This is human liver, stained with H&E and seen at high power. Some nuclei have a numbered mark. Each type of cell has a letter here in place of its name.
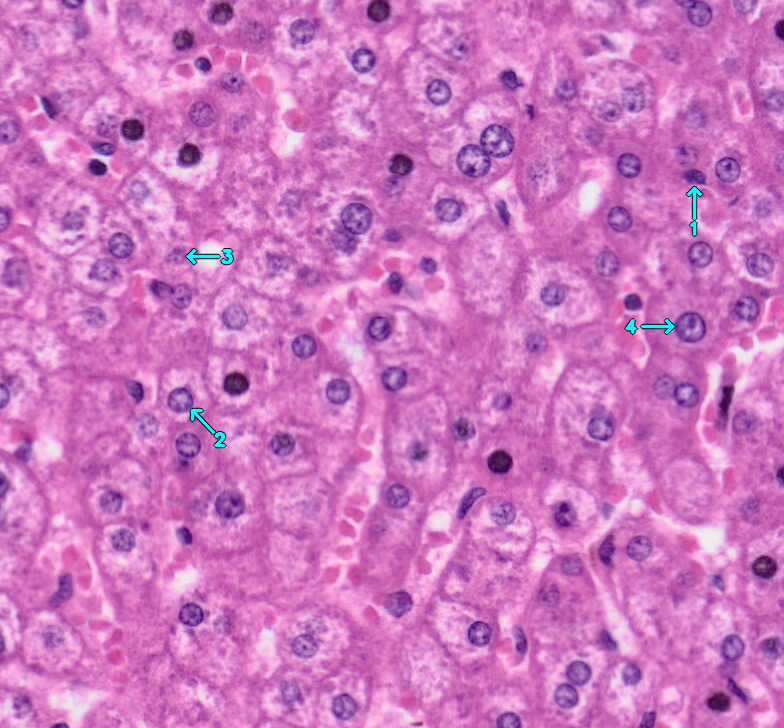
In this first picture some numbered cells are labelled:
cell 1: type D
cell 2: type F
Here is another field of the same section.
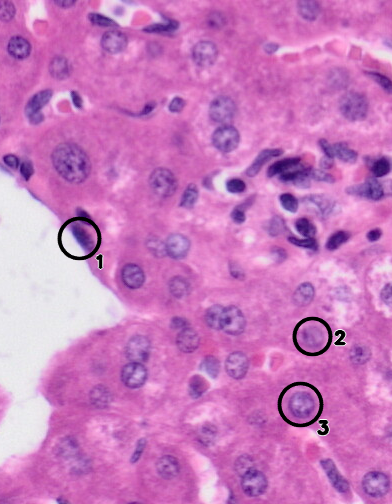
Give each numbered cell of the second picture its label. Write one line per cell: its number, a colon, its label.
1: type D
2: type F
3: type F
